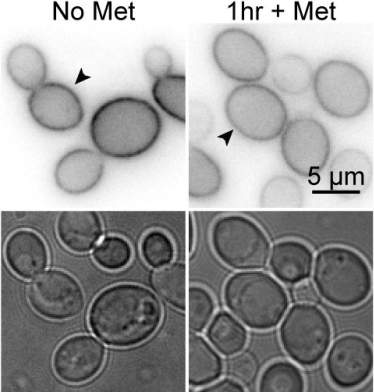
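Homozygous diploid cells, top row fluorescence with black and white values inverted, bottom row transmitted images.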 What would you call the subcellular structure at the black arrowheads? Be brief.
Plasma membrane.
